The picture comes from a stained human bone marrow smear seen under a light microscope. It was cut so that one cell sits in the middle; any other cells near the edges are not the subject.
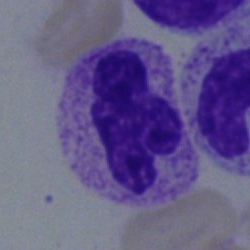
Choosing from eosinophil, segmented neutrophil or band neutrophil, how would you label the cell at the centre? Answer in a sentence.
The cell at the centre of the field is a band neutrophil.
